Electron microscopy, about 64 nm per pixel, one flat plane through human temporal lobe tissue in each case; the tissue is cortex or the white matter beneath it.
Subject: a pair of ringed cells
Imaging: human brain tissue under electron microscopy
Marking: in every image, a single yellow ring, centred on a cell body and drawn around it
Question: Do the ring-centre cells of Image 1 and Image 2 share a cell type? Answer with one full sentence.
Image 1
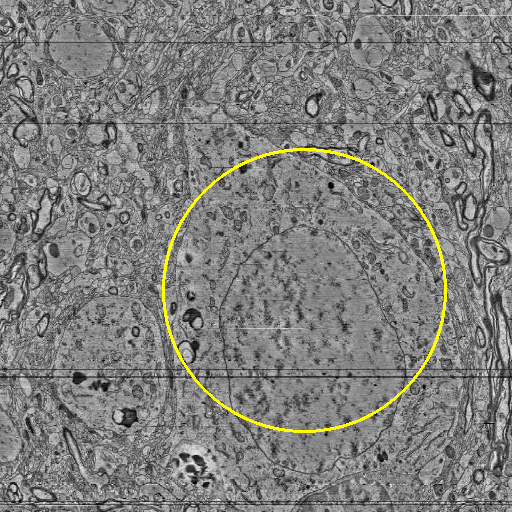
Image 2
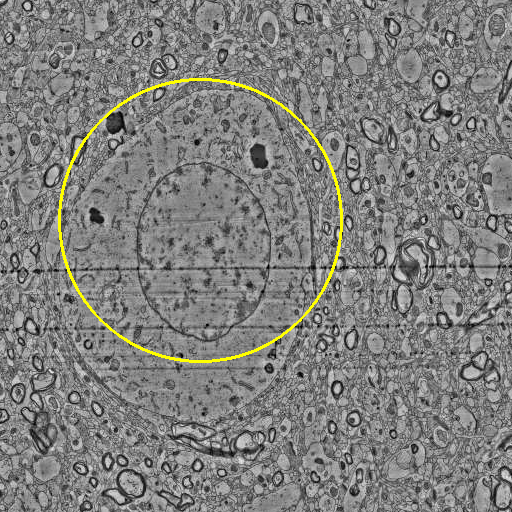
Yes, at each ring's centre in the images sits a cell of one common type.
